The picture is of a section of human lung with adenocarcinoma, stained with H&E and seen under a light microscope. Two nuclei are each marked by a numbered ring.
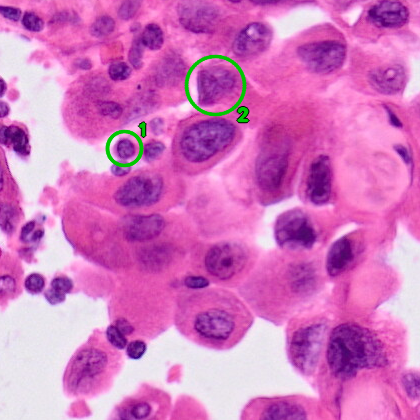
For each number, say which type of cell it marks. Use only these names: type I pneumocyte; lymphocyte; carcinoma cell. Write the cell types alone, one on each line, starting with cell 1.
lymphocyte
carcinoma cell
